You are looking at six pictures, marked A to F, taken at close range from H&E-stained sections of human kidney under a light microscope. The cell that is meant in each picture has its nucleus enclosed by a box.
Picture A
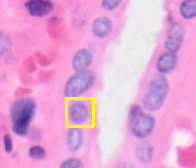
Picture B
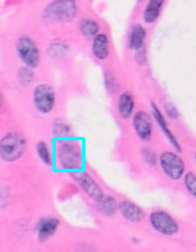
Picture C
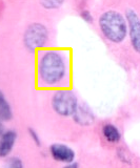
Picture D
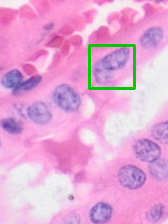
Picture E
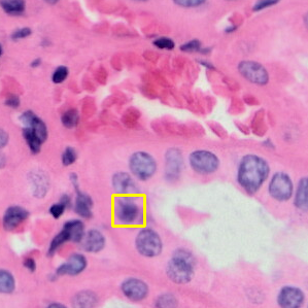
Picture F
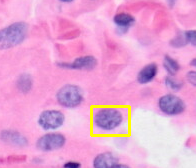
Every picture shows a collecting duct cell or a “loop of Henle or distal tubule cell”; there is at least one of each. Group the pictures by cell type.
A: collecting duct cell
B: collecting duct cell
C: loop of Henle or distal tubule cell
D: collecting duct cell
E: collecting duct cell
F: loop of Henle or distal tubule cell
